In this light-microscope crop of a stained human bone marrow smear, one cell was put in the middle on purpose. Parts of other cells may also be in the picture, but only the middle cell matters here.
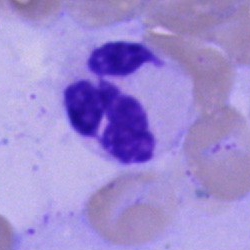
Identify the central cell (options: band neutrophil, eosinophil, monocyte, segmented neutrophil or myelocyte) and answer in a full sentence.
At the middle of the frame sits a segmented neutrophil.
